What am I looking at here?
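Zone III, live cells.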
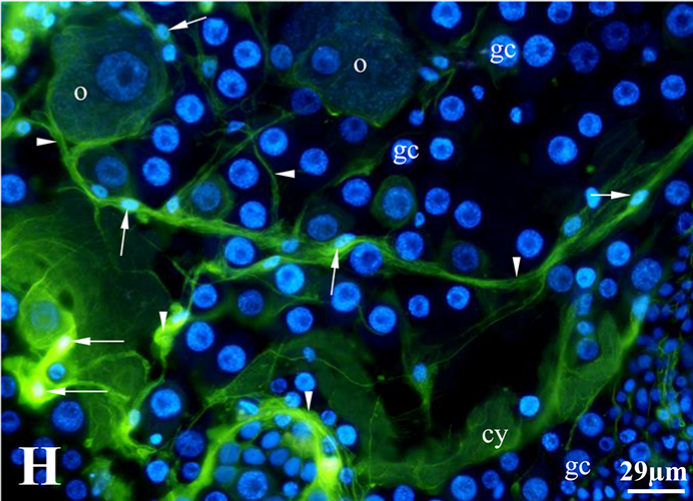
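Germ cells, oocytes and somatic cells of an ovarian cyst are seen together. Small, elongated, bright blue somatic nuclei sit along these strands. A fibrous green cytophore lies toward the lower right.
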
